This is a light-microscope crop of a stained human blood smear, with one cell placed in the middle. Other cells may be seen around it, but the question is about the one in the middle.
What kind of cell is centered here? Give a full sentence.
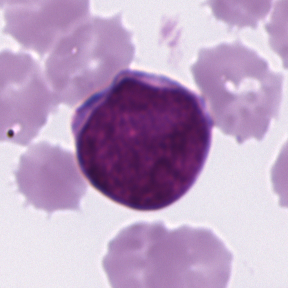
What sits at the centre of this crop is a myeloblast.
